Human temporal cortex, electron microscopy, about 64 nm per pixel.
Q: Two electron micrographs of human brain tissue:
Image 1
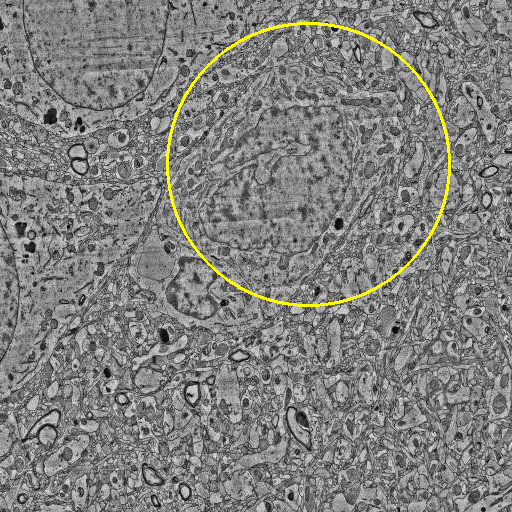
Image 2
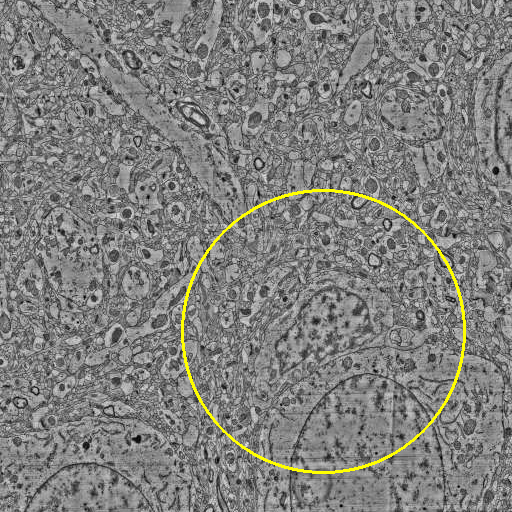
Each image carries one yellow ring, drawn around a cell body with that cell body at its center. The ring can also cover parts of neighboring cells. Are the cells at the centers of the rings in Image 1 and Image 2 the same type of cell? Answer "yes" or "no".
yes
